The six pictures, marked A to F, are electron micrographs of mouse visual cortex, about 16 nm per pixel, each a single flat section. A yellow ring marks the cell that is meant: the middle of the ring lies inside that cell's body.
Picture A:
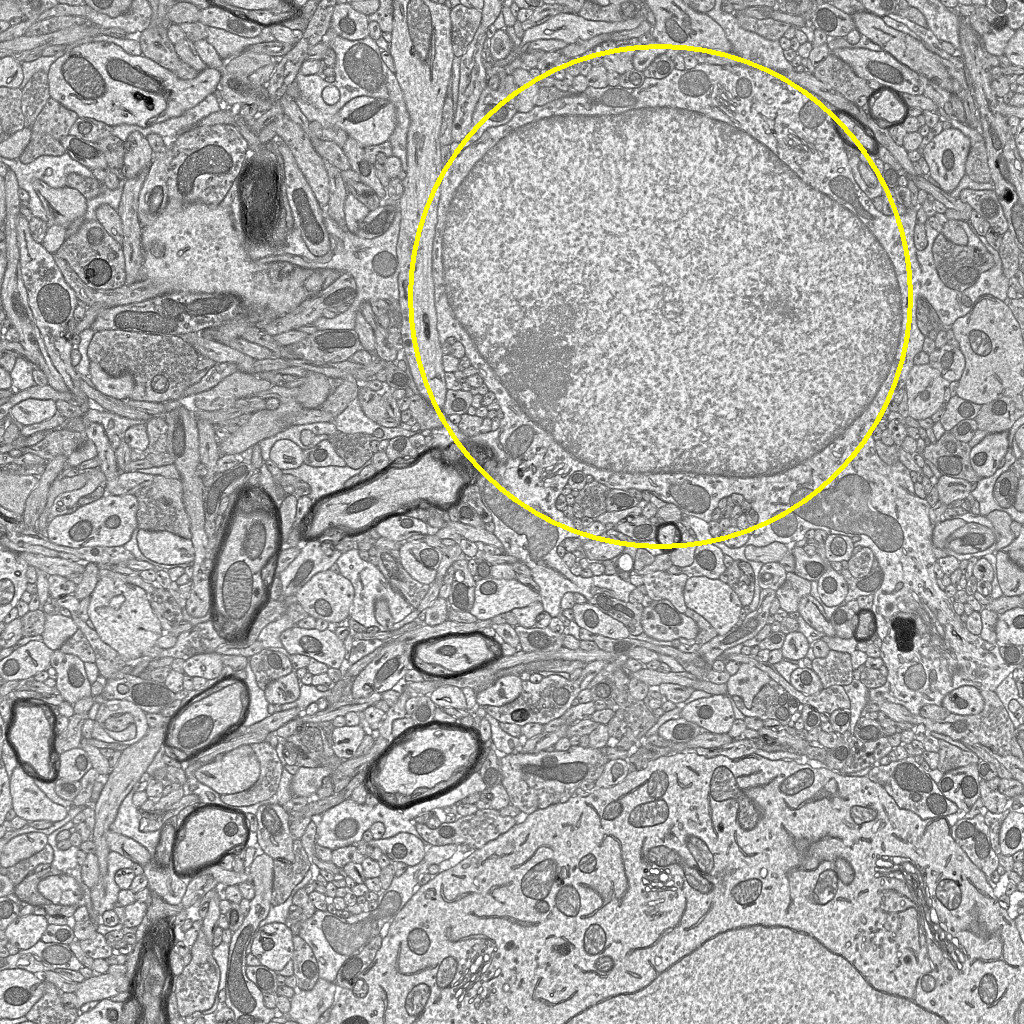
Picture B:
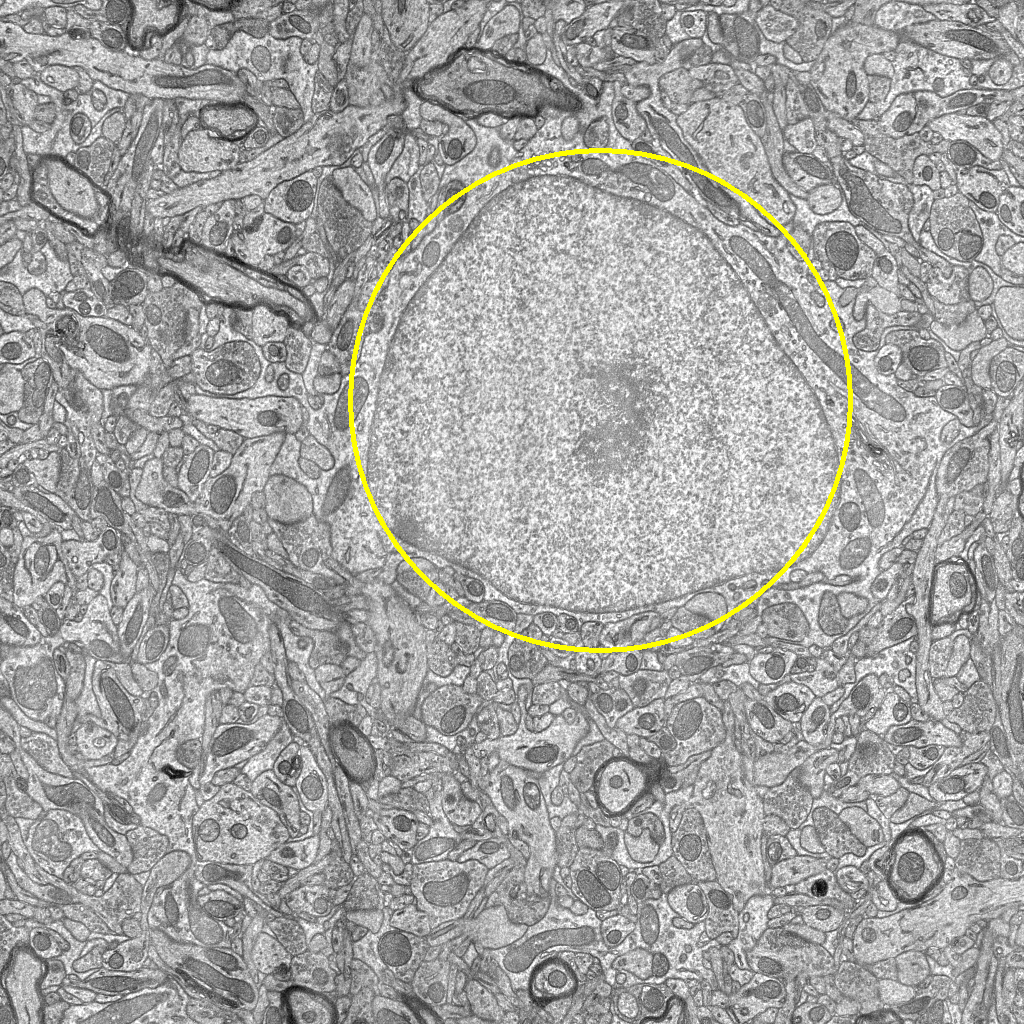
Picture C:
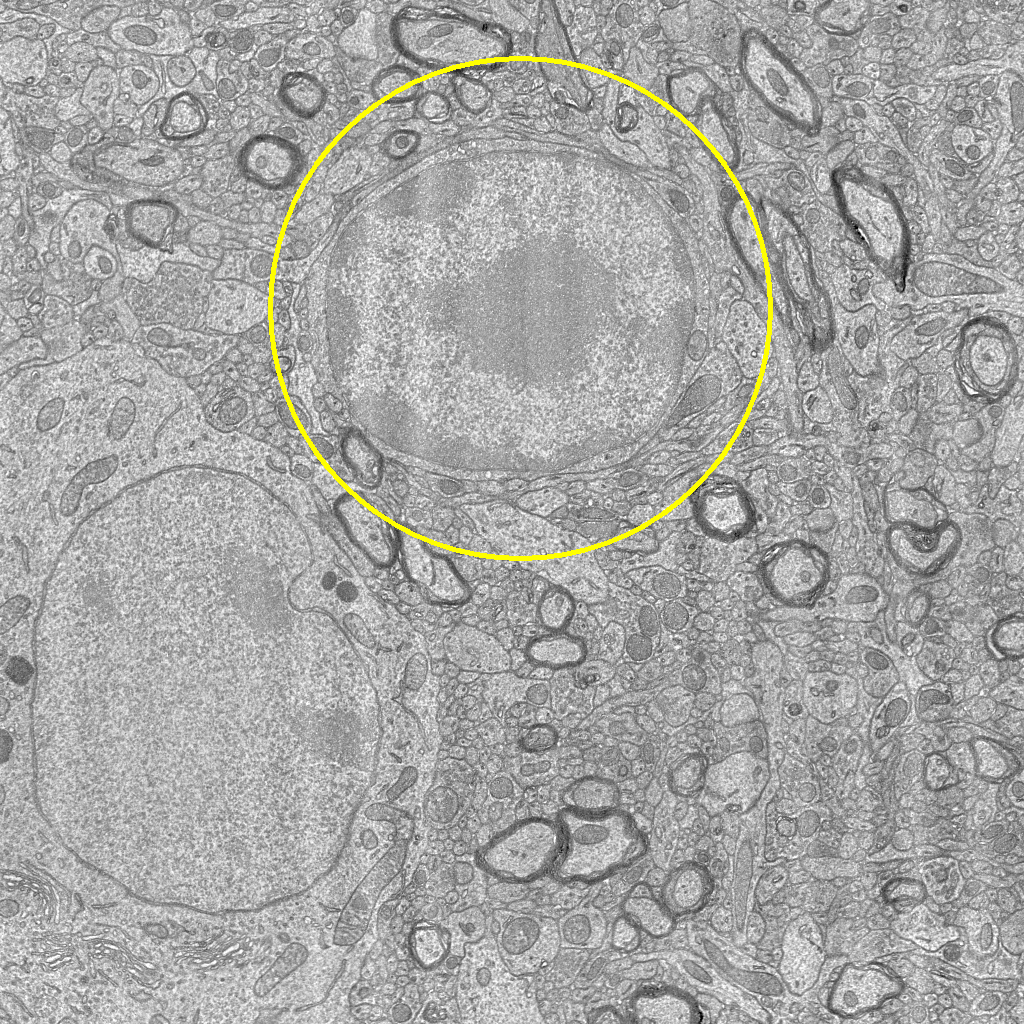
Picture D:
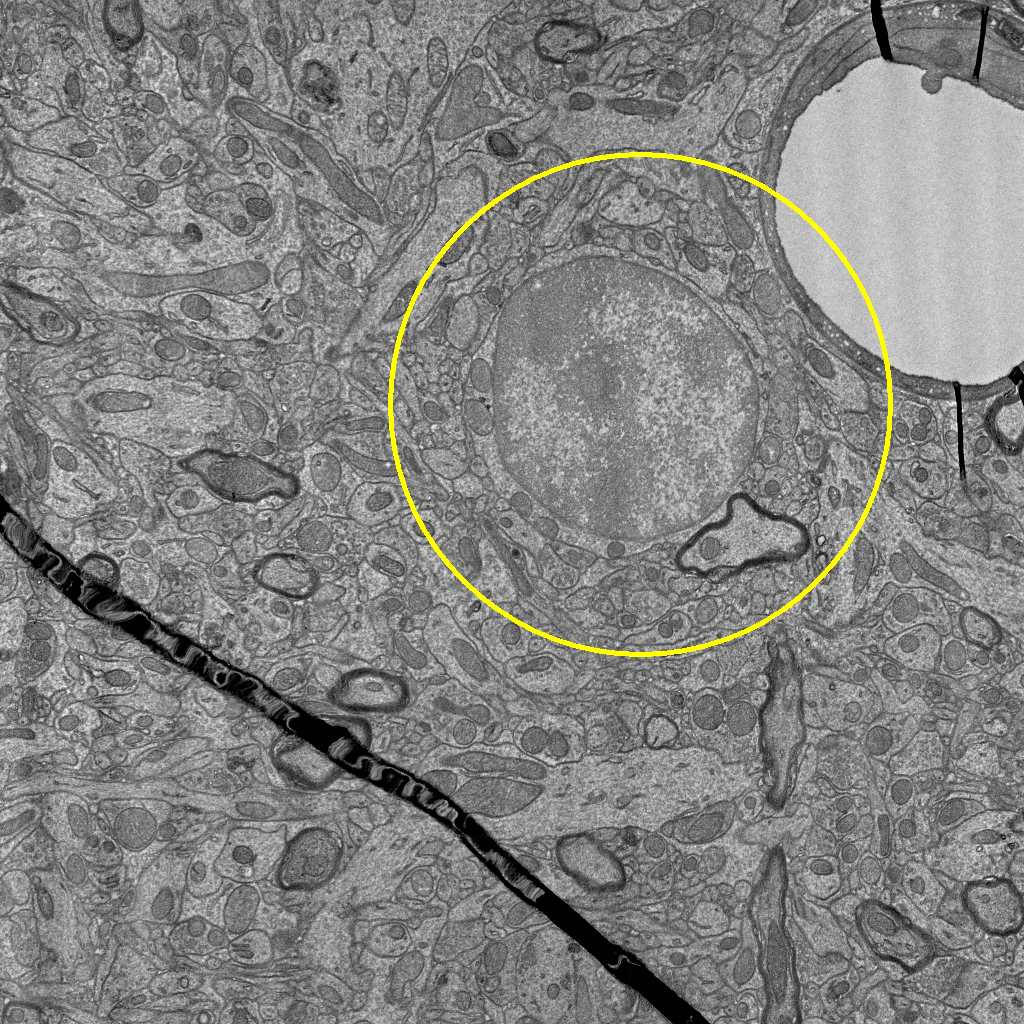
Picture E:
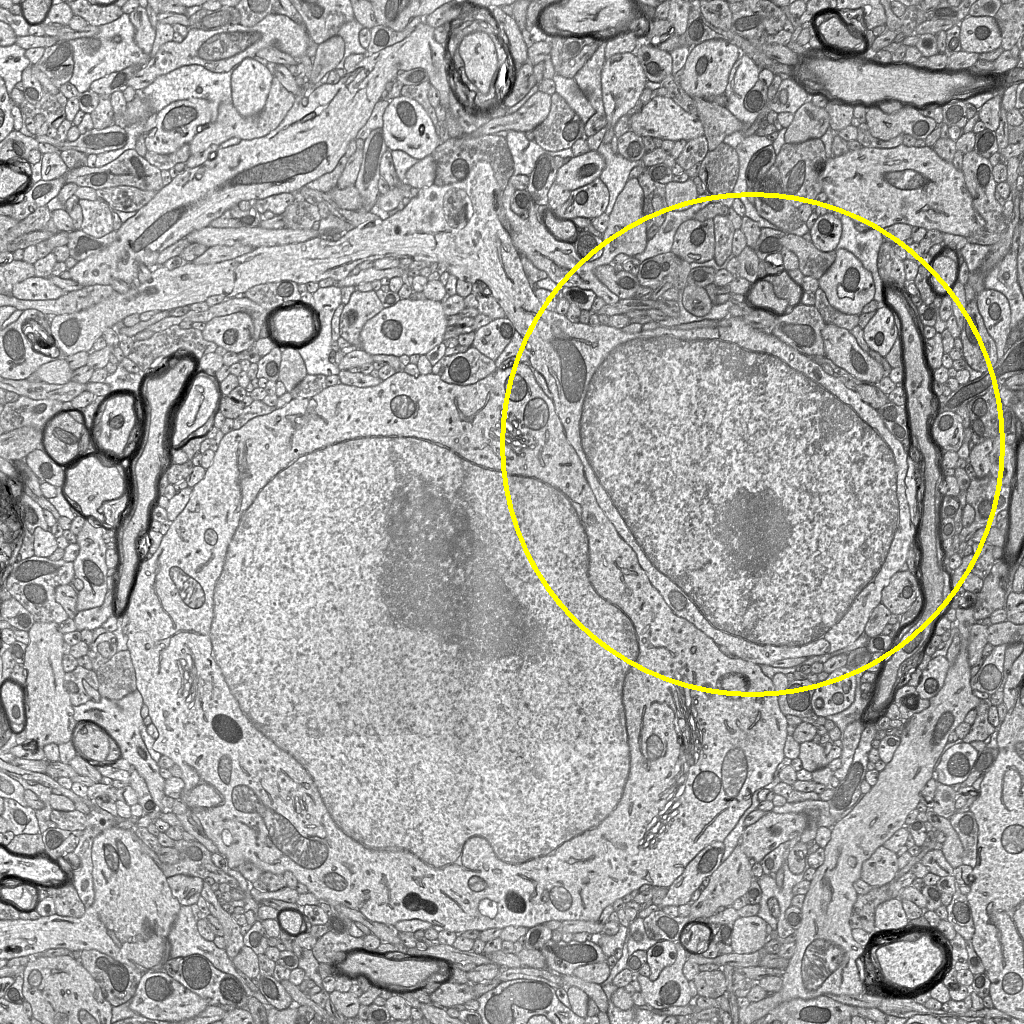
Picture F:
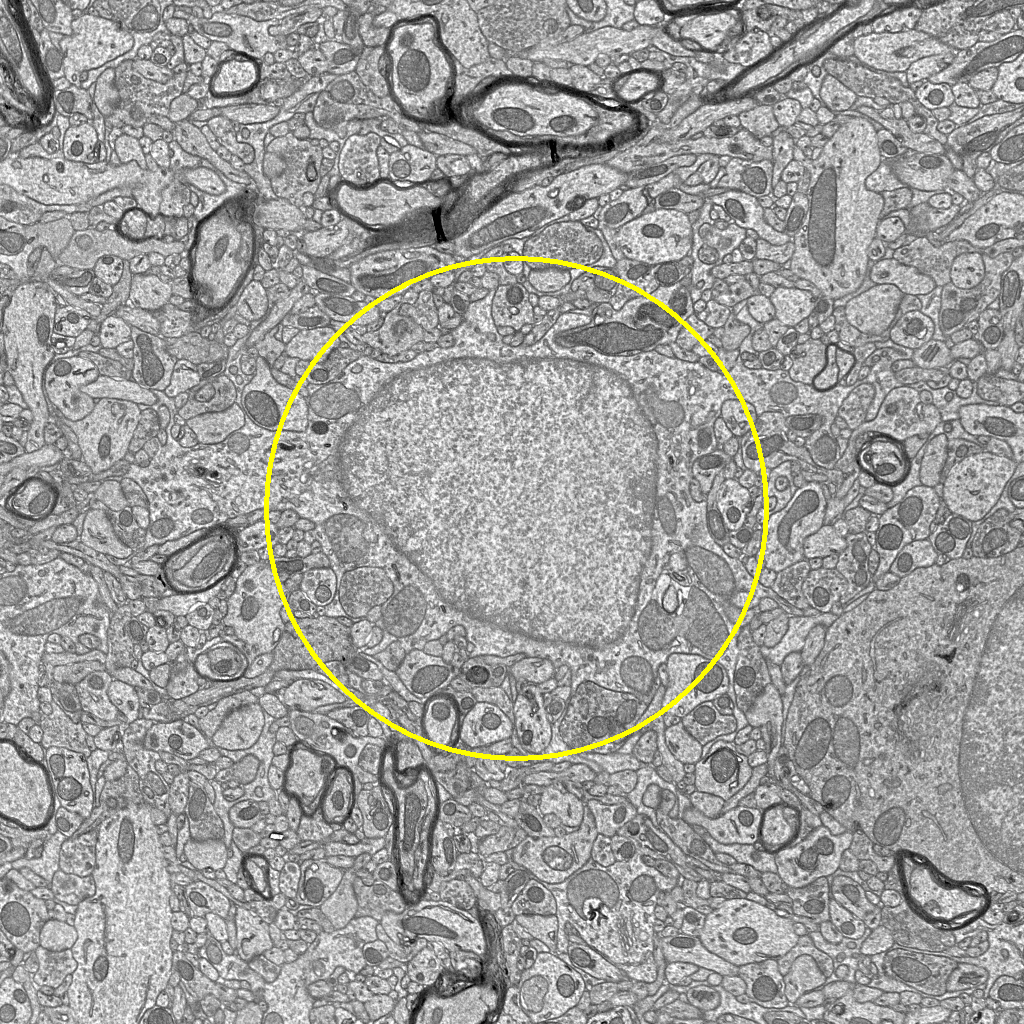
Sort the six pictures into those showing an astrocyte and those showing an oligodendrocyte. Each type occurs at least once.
Pictures A, B and F show astrocytes; pictures C, D and E show oligodendrocytes.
